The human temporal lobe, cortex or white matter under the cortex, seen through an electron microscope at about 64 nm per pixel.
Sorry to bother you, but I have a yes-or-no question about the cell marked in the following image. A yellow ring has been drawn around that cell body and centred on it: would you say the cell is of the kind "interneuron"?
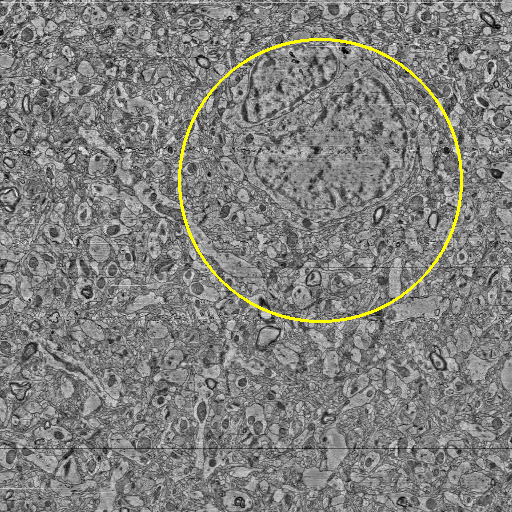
yes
